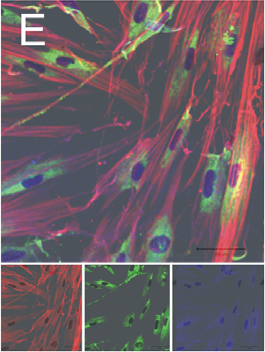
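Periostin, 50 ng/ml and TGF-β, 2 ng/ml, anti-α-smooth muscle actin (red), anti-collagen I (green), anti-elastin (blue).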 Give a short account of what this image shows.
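Long red filament bundles run the length of the cells, while many cells also carry a granular green signal in the cytoplasm gathered around the nucleus. The oval nuclei appear blue to purple, and the green-filled cells stand out brightly among the red, fibre-rich ones.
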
